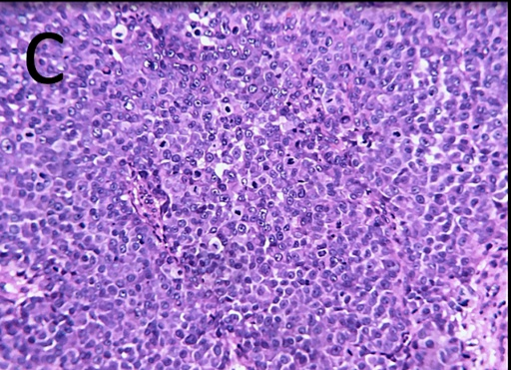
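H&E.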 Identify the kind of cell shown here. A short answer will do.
large cells with abundant cytoplasm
